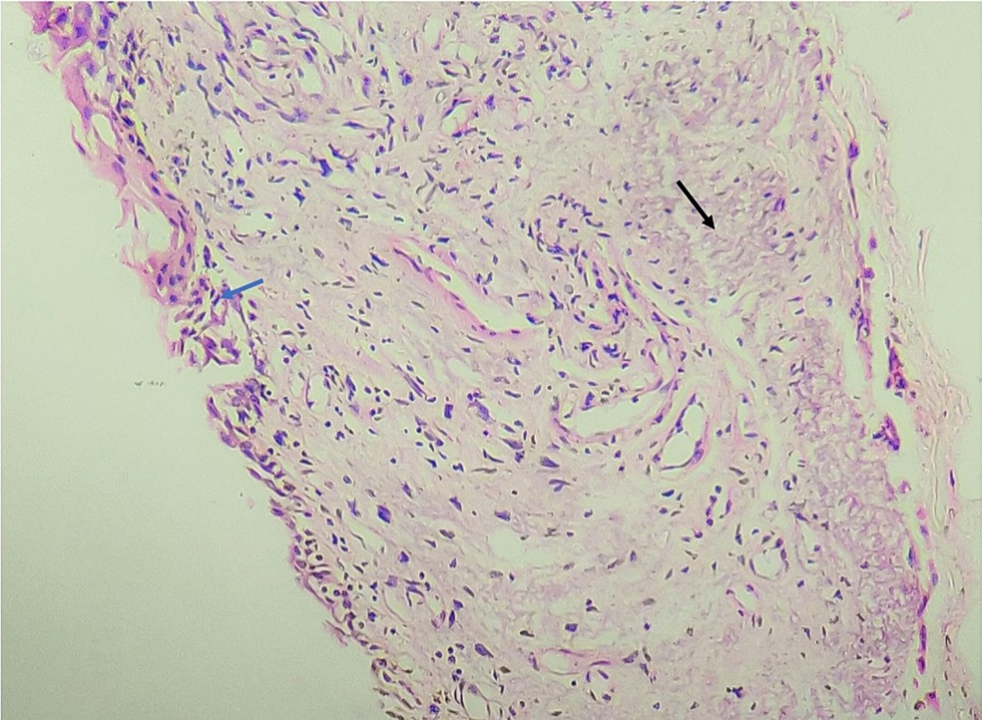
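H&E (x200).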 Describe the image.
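A strip of surface squamous epithelium with flattened, pink-cytoplasm cells runs along the left edge, over a loose, pale pink connective-tissue stroma. Many small, thin-walled blood vessels lined by elongated dark nuclei lie scattered throughout the stroma, with spindle-shaped cells between them. Toward the right, the stroma changes into a sparsely cellular area of pale greyish-purple, finely fibrillar material with only a few nuclei.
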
